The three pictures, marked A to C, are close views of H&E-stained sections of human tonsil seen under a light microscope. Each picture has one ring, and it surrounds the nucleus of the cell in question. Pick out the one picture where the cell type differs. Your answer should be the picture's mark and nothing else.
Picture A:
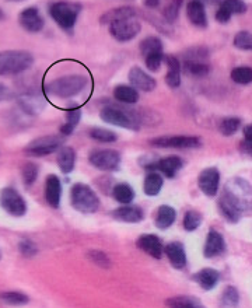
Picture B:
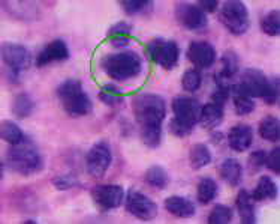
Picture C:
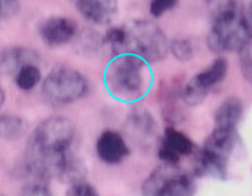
A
